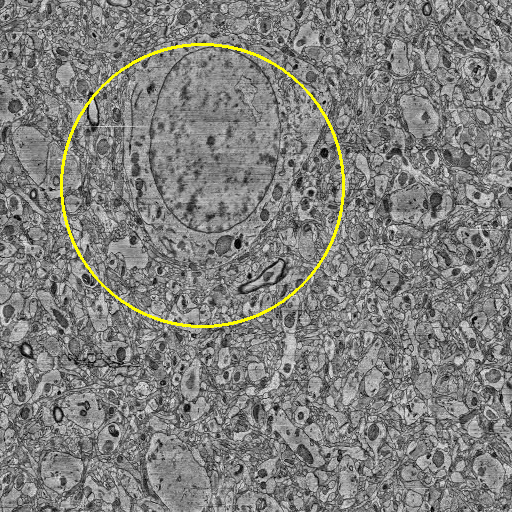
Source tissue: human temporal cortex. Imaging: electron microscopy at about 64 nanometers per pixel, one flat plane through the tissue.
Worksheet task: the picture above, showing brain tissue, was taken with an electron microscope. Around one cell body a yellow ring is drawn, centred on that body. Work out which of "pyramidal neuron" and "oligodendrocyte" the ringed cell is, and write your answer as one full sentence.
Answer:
It is a pyramidal neuron whose cell body lies at the centre of the yellow ring.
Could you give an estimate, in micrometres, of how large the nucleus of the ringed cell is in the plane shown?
Approximately 12 micrometres long and 9 micrometres wide, in this plane.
